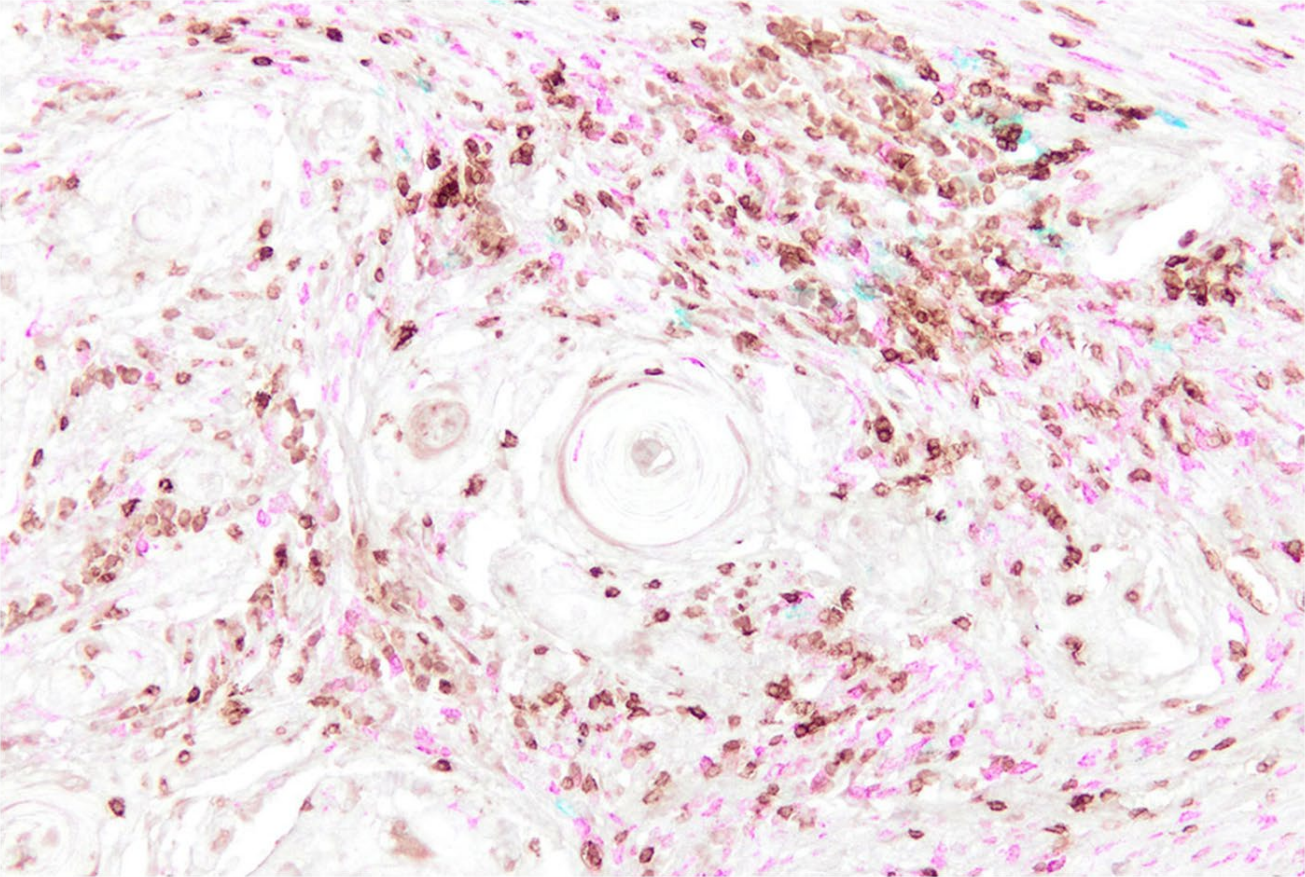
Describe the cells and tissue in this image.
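Pale nests of tumour cells lie in a fibrous stroma, and the central nest holds a round body of concentric lamellae. The stroma around these nests is densely infiltrated by many small round brown-stained cells, interspersed with numerous elongated or irregular fuchsia-stained cells, while blue-stained cells are only rare, small foci.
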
